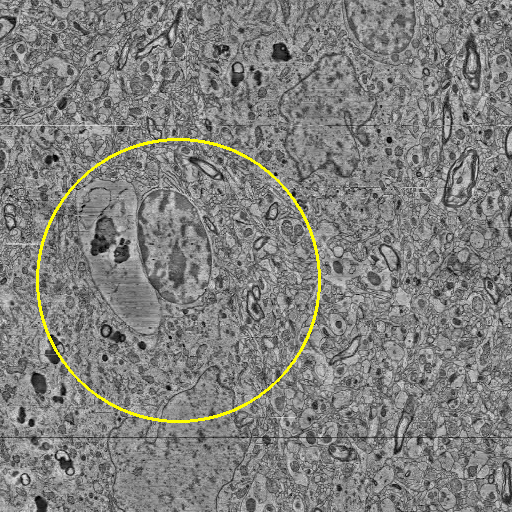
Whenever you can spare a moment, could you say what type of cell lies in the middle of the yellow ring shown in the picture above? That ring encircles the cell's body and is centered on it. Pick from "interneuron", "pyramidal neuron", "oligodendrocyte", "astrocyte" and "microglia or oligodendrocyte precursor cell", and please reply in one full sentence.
The cell whose body sits at the middle of the yellow ring is a microglial cell or oligodendrocyte precursor cell.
